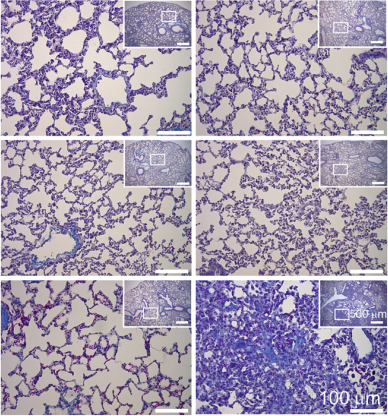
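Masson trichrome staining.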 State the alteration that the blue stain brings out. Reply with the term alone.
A: Fibrotic foci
